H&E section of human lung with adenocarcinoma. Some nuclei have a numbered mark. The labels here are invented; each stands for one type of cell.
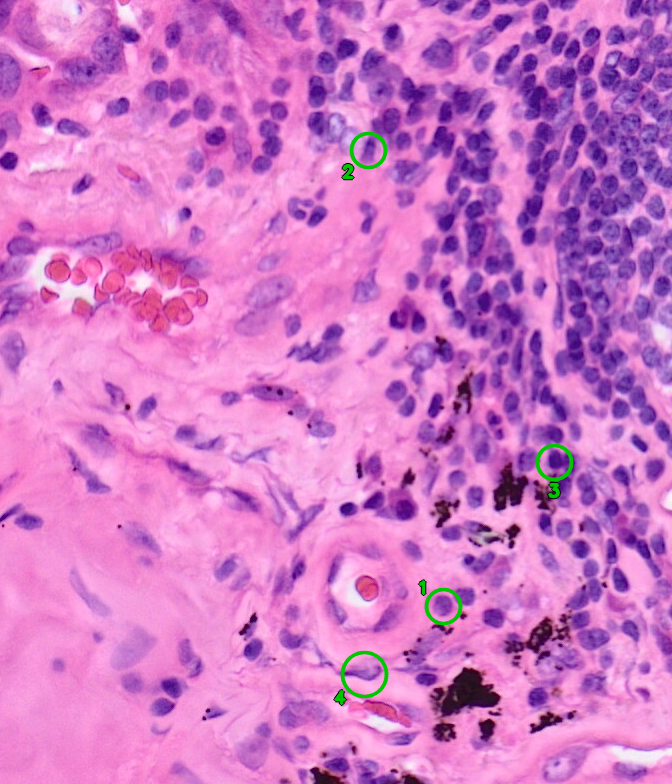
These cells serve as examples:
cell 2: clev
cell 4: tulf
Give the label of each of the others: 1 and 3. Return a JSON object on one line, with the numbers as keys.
{"1": "clev", "3": "clev"}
